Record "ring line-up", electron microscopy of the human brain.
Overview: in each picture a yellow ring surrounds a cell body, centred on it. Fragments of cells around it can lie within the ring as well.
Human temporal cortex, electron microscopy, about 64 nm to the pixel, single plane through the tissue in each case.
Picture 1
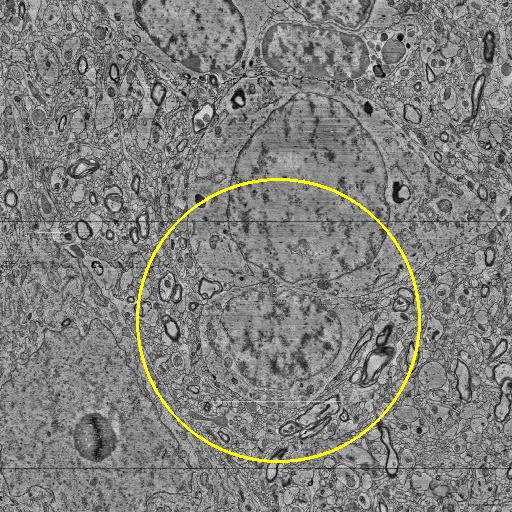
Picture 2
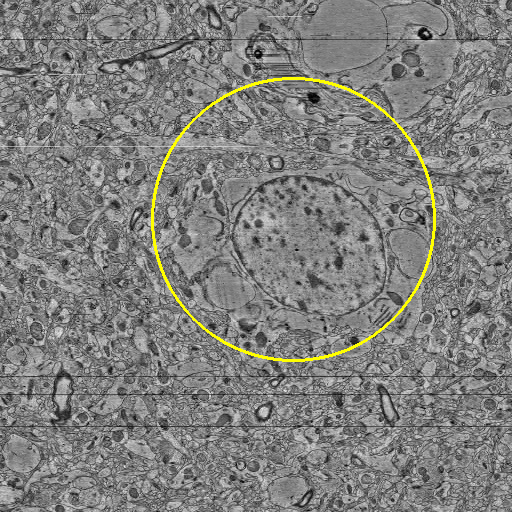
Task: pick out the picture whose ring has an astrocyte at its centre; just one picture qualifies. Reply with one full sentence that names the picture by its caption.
Going by the cell at the ring's centre, the right choice is Picture 2.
